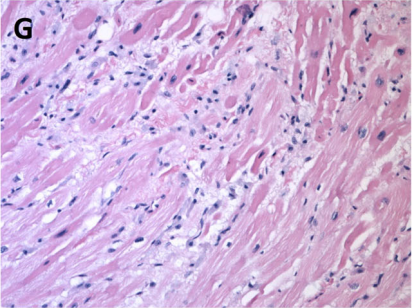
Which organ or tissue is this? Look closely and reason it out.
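Myocardium. Pink elongated muscle fibres with central oval nuclei. Interstitial spaces between fibres contain scattered cells.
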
